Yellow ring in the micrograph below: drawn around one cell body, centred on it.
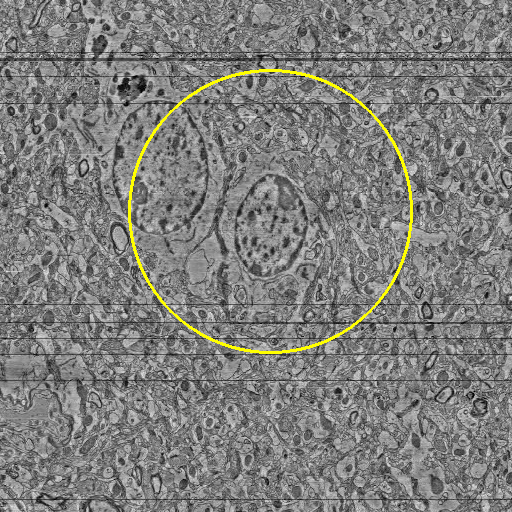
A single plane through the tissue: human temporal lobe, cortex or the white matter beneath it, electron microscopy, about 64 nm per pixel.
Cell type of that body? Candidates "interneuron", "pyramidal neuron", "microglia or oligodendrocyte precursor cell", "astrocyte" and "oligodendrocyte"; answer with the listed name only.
astrocyte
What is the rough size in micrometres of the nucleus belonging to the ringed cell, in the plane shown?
Approximately 7 by 5 micrometers in this plane.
